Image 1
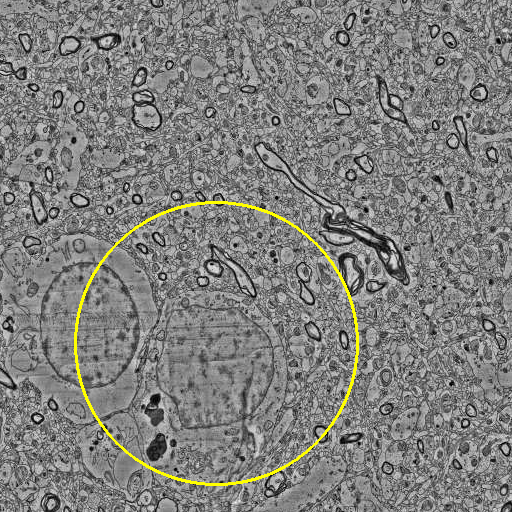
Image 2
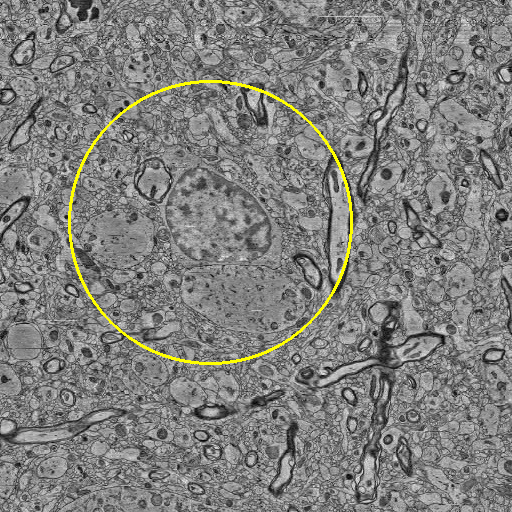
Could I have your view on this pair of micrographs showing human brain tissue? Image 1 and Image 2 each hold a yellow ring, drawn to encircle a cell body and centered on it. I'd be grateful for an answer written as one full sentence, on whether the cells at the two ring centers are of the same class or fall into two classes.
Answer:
The cells at the centers of the two rings fall into two classes.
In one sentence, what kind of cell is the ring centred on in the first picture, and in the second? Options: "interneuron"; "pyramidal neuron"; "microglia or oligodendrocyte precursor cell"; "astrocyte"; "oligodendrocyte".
The cell at the centre of the second ring is an oligodendrocyte; the first ring's cell is a pyramidal neuron.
